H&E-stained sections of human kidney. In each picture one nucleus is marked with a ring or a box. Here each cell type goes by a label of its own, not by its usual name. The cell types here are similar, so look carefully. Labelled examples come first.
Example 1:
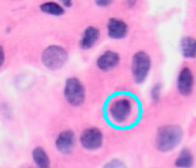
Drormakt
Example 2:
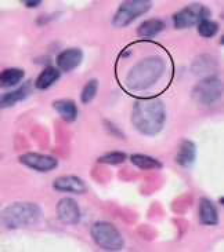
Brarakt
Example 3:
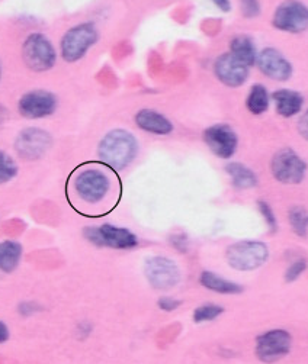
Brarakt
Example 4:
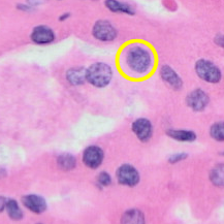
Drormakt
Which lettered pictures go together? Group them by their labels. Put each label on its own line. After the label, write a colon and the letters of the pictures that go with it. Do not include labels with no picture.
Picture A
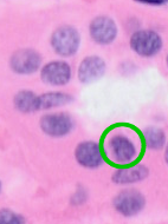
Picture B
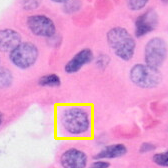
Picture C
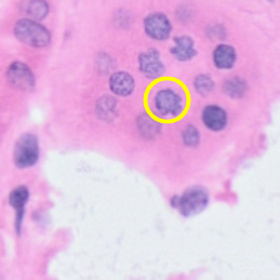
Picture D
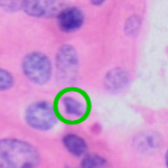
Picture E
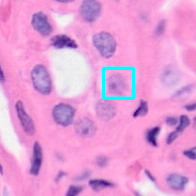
Drormakt: B, C, E
Brarakt: A, D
